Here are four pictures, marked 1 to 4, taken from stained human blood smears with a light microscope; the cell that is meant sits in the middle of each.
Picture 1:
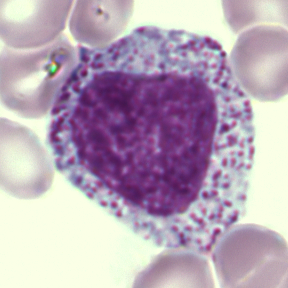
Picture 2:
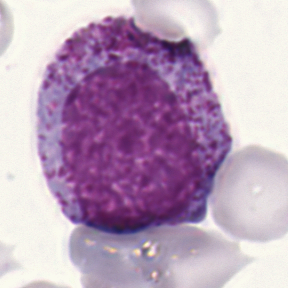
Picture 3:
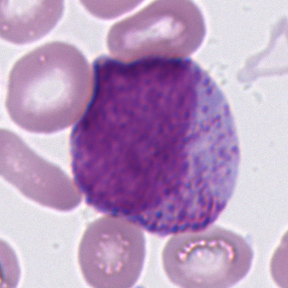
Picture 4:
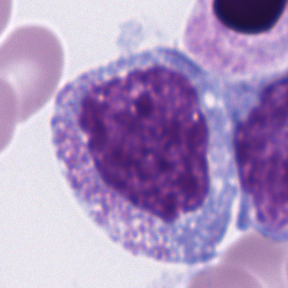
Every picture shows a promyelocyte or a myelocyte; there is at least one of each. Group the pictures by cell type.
1: myelocyte
2: promyelocyte
3: promyelocyte
4: promyelocyte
